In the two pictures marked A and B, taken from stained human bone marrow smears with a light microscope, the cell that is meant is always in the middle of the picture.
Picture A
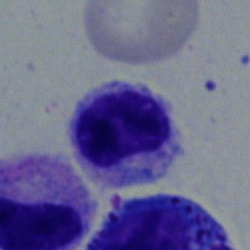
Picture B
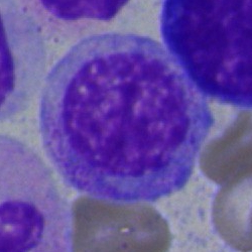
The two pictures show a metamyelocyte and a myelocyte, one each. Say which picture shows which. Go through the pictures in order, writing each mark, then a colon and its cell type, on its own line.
A: metamyelocyte
B: myelocyte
